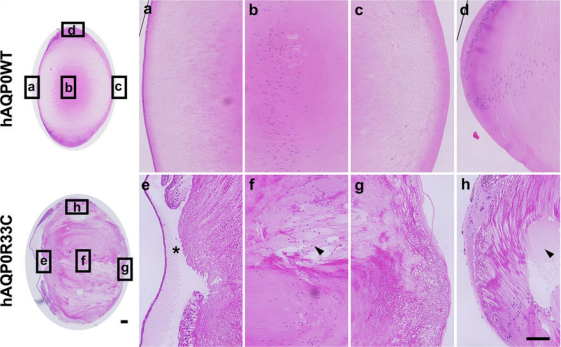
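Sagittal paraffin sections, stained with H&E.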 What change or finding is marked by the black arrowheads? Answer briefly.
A: Empty and enlarged extracellular spaces.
